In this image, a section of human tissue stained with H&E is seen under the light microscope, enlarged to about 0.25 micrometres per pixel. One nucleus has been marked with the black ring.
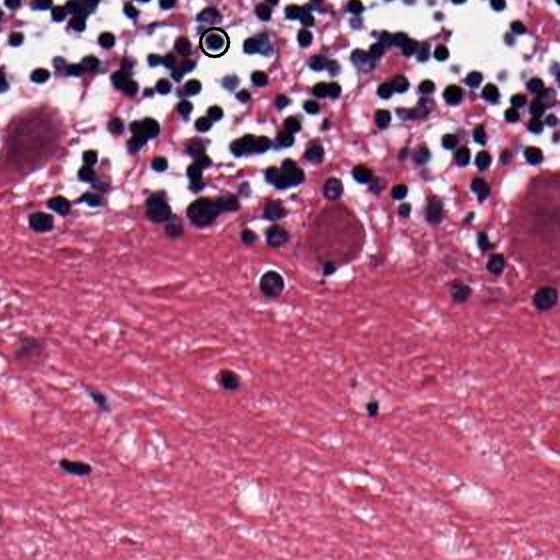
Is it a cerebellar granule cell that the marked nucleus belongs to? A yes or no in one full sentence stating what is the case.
Yes, the cell whose nucleus is marked is a cerebellar granule cell.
